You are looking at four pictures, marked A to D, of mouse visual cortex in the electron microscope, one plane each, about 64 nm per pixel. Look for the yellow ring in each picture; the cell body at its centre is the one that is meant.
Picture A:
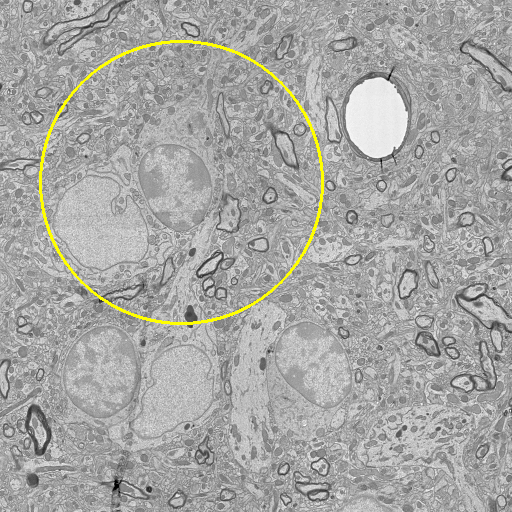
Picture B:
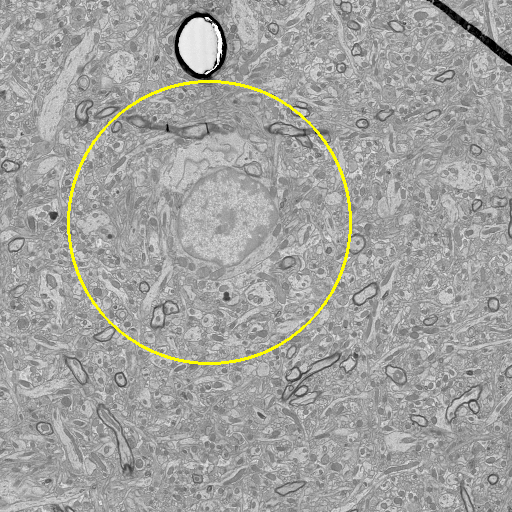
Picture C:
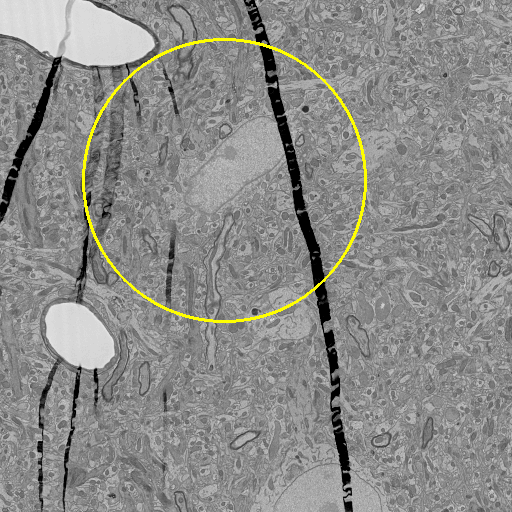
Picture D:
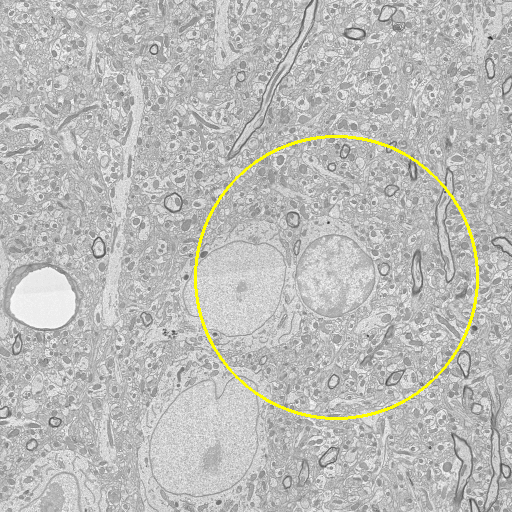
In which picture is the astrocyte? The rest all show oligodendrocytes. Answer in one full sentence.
The astrocyte is the one in picture C.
